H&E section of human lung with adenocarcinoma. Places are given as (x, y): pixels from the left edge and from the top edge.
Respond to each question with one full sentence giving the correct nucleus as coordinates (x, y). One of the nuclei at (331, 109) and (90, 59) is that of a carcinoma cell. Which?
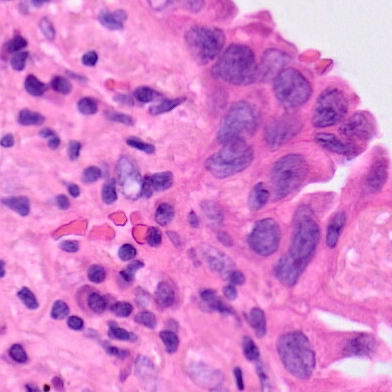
The nucleus of the pair that lies within a carcinoma cell is at (331, 109).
